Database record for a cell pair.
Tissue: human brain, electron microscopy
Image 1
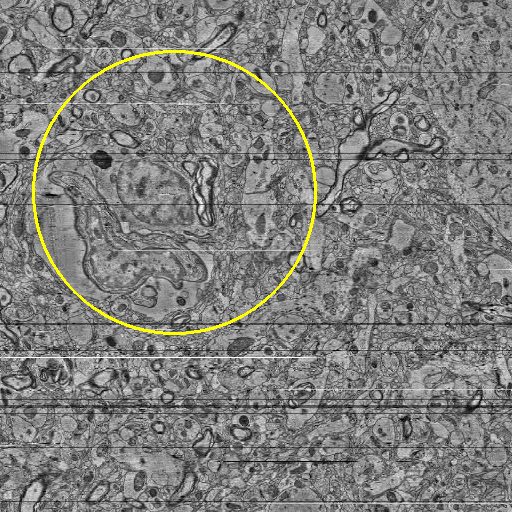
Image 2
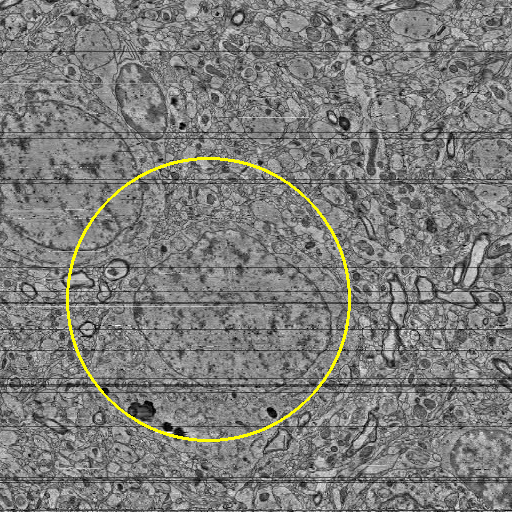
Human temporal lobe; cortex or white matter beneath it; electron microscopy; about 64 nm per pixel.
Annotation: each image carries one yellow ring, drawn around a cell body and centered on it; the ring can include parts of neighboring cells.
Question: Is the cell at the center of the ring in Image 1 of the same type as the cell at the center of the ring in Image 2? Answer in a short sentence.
No, the cells are of two types.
